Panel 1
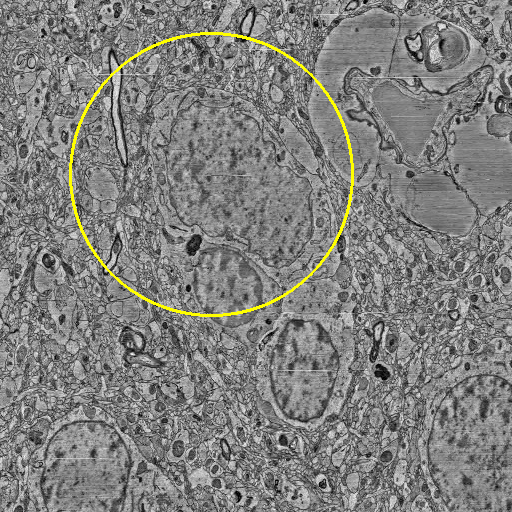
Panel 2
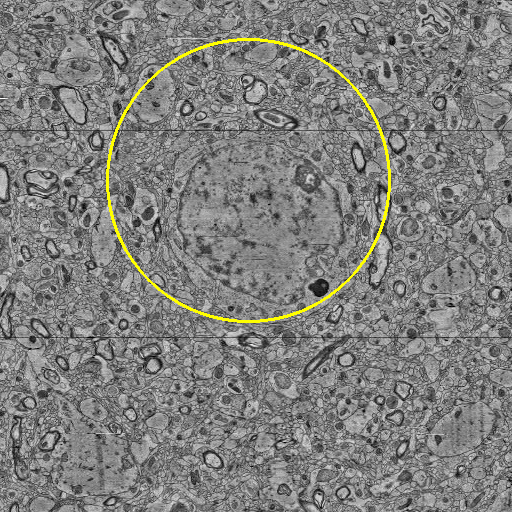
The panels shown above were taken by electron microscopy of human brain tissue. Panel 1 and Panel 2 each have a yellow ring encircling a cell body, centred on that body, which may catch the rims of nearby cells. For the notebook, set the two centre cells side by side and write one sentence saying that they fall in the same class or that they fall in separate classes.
The centred cells of Panel 1 and Panel 2 fall in the same class.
